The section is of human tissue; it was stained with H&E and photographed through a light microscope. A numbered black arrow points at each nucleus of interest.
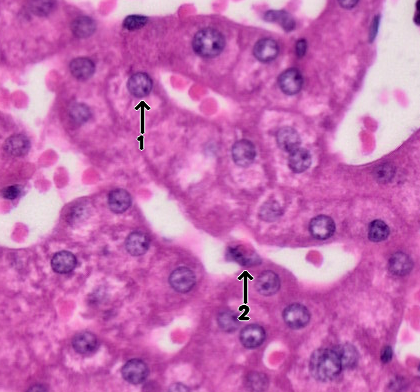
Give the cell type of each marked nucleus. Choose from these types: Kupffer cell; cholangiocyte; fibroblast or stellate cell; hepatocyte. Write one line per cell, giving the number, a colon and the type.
1: hepatocyte
2: Kupffer cell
